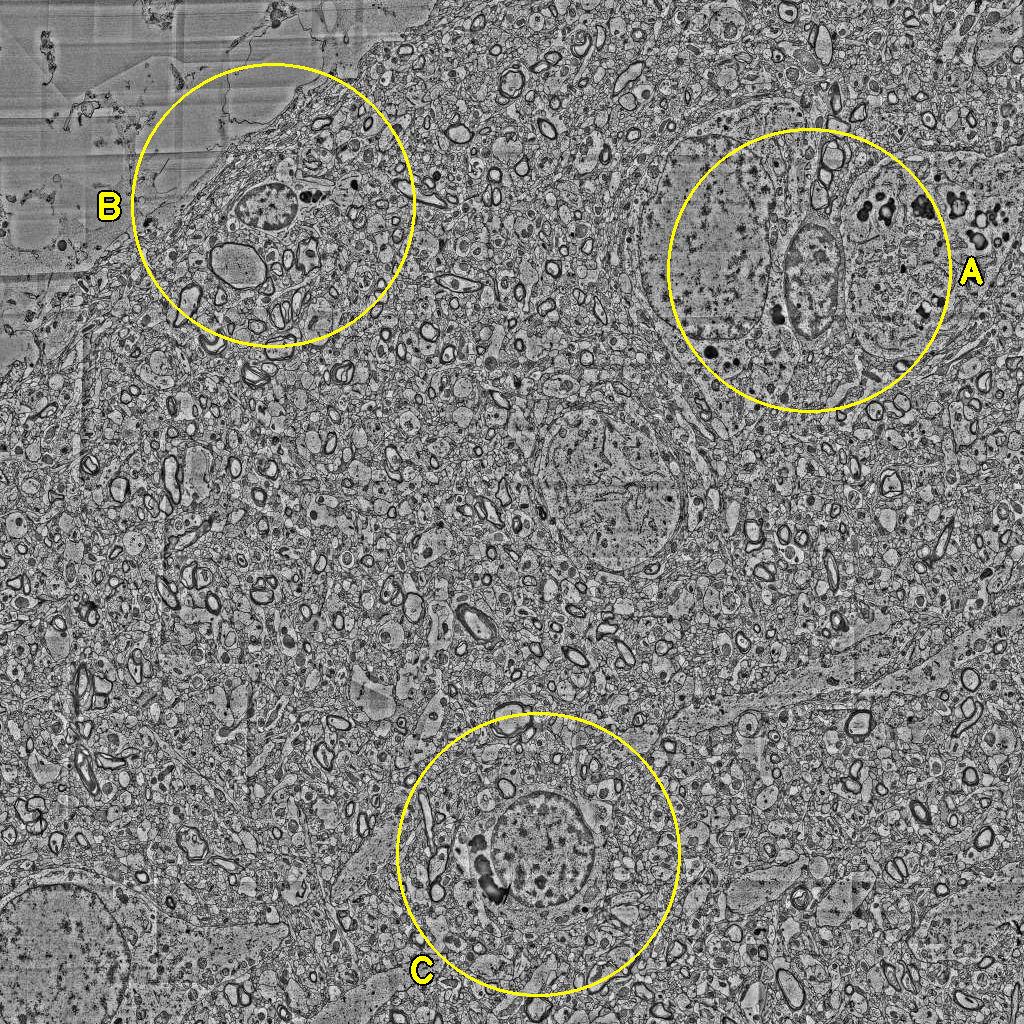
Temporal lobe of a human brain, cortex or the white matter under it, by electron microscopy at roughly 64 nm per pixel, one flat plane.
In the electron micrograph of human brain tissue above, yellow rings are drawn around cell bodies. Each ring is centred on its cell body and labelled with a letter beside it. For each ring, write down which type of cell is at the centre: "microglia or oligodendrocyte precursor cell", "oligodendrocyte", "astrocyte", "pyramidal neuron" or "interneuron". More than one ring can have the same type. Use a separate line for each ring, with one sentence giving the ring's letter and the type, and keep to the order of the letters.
At the centre of ring A there is an oligodendrocyte.
At the centre of ring B there is a microglial cell or oligodendrocyte precursor cell.
At the centre of ring C there is an oligodendrocyte.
